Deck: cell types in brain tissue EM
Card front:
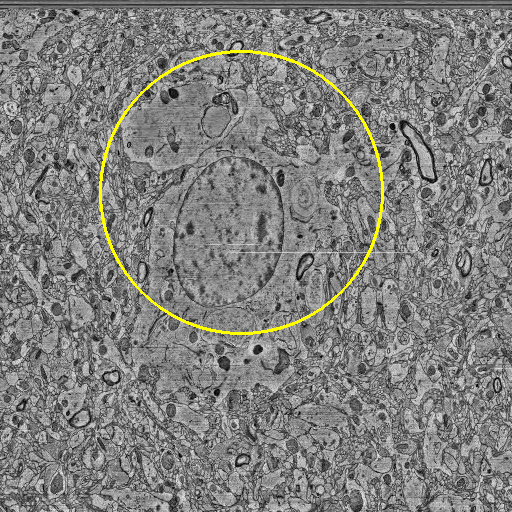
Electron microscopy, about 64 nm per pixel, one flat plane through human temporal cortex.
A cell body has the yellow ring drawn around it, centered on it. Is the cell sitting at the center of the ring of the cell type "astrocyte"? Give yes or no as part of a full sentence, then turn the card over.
Yes, on this card the yellow ring is centered on a cell of that type.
